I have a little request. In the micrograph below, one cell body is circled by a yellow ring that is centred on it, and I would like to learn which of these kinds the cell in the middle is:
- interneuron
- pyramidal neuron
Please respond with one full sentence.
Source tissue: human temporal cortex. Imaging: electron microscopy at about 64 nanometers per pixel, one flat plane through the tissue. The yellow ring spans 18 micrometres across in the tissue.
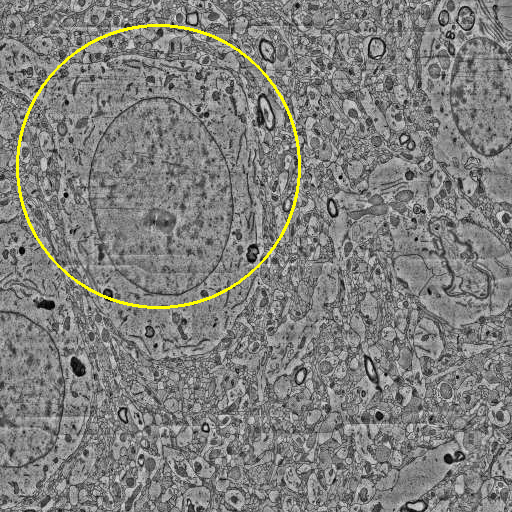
The cell sitting in the middle of the yellow ring in the micrograph is a pyramidal neuron.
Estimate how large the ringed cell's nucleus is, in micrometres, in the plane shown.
In this plane, the nucleus is roughly 13 by 9 micrometres.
